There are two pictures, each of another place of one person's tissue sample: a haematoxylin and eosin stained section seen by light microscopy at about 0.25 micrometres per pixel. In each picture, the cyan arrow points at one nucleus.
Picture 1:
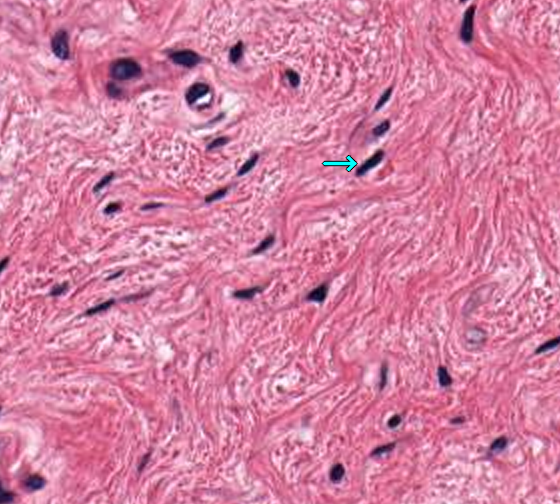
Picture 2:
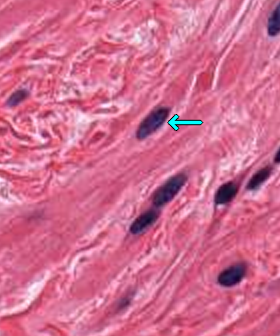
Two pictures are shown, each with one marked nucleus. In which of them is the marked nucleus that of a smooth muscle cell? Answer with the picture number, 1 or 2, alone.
2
